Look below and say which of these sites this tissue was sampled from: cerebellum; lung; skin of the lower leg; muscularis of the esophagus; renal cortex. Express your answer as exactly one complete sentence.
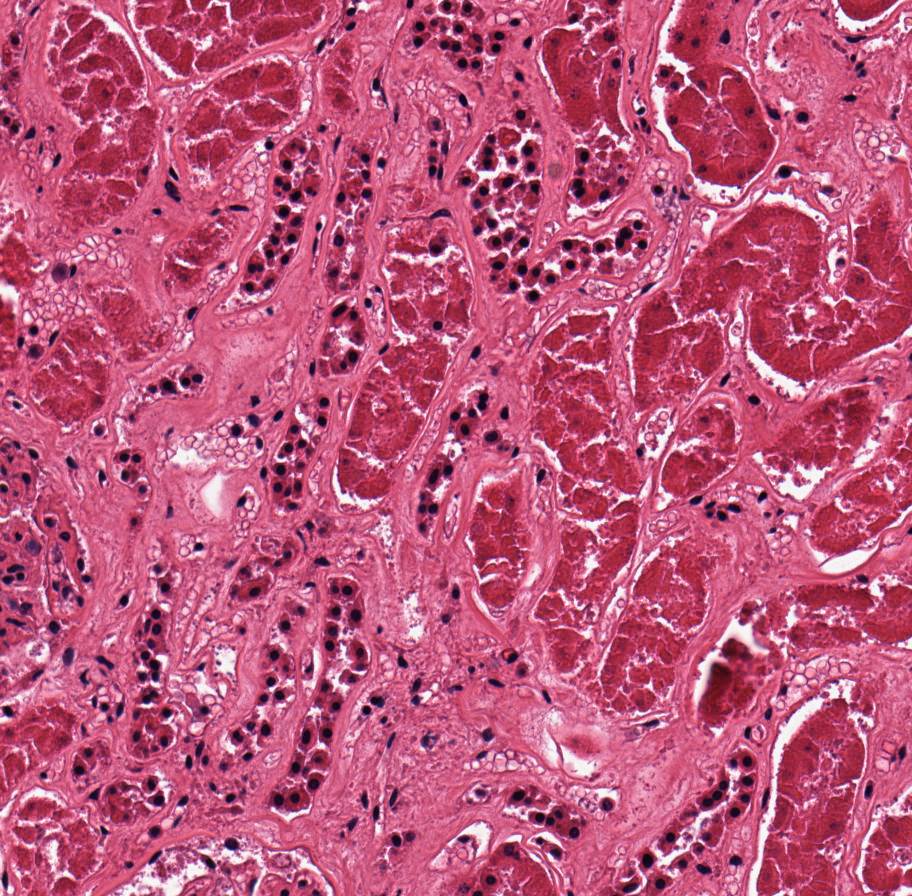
Taken from the renal cortex, this tissue forms the section.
